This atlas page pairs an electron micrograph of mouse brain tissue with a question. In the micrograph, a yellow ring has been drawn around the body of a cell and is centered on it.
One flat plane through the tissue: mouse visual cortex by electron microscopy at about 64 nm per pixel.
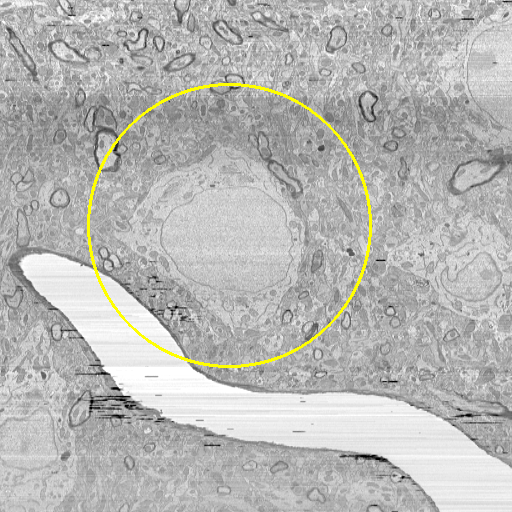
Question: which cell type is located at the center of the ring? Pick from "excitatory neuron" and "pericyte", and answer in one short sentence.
Located at the center of the ring is an excitatory neuron.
